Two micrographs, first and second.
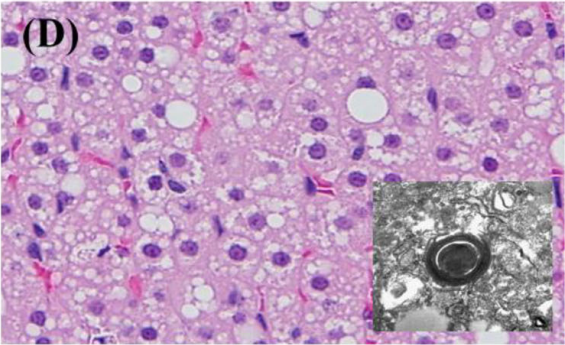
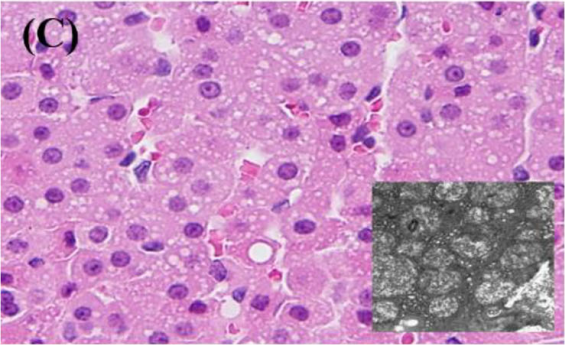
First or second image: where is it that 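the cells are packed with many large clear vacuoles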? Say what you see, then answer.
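First image: cytoplasm crowded with numerous clear vacuoles, several of them large. Second image: cytoplasm with mostly small vacuoles and only an occasional larger one. So: the first image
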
